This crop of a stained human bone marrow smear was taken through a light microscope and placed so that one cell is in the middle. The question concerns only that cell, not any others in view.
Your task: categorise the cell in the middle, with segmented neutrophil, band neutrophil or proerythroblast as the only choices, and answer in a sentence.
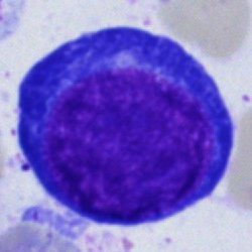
Present in the middle of the crop is a proerythroblast.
